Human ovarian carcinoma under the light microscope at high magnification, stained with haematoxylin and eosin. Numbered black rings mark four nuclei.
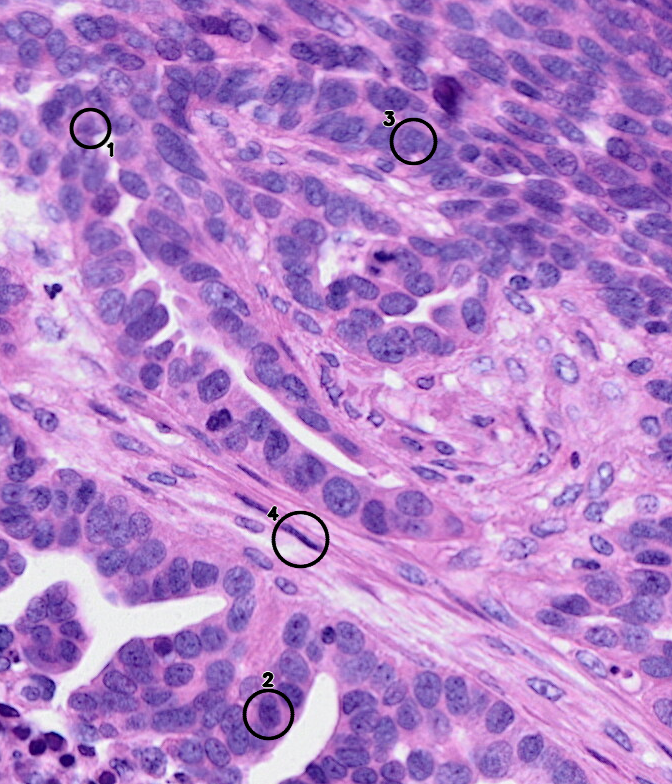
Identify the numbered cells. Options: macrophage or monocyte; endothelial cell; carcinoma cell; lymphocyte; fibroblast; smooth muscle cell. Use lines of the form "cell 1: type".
cell 1: carcinoma cell
cell 2: carcinoma cell
cell 3: carcinoma cell
cell 4: fibroblast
